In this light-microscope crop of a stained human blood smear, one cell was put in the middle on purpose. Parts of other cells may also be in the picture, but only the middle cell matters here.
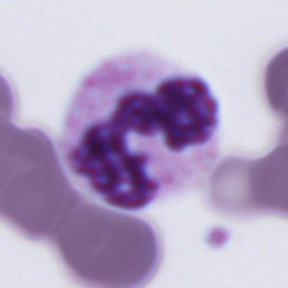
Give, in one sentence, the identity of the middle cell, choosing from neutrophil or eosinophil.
The cell marked by its central position in the crop is a neutrophil.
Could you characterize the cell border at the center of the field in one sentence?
Worth noting that the cell border is smooth and lacks projections.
